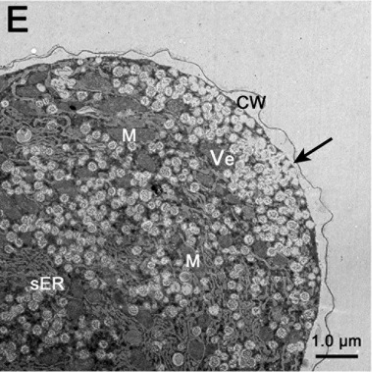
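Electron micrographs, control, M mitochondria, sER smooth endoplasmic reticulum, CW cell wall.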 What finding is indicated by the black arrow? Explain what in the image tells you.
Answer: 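The fusion of vesicles with the plasma membrane. The arrow points to the cell edge where small round vesicles lie right against the membrane. Numerous small pale round vesicles crowd the periphery of the cell.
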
